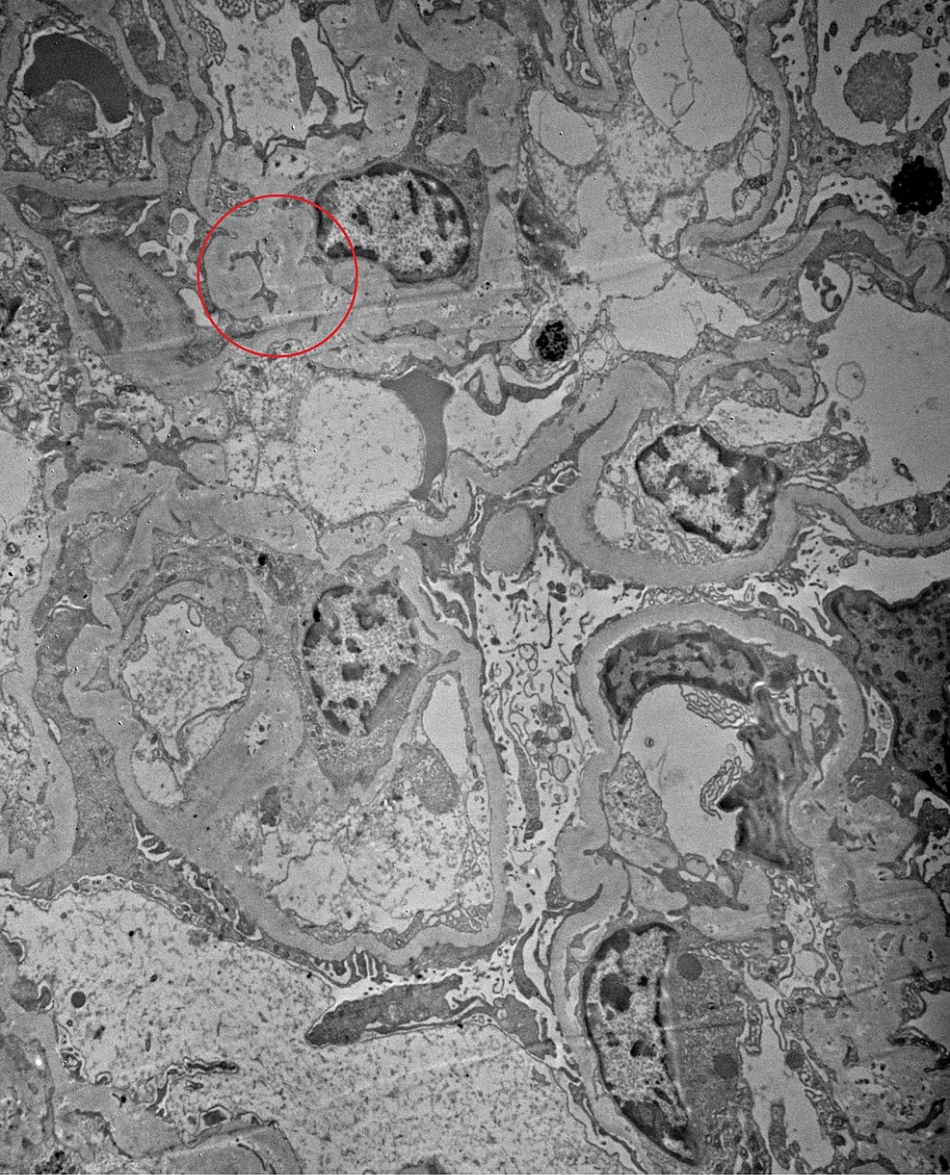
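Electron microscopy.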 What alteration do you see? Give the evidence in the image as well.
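Glomerular basement membrane thickening. The grey bands lining the capillary loops are broad and even across much of the field. The thickened bands show no layered or split appearance.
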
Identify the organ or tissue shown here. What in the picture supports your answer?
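Glomerulus. Several looping capillary walls formed by bands of homogeneous grey basement membrane. Open capillary lumina bounded by these curving membranes. Cell nuclei with clumped chromatin lie between and along the capillary loops.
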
